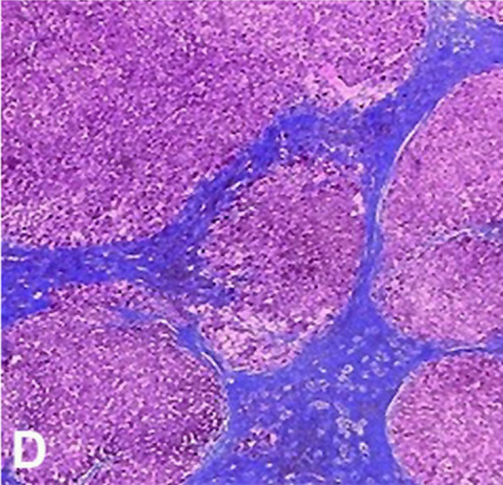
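Liver parenchyma divided into rounded nodules of hepatocytes by broad blue-stained fibrotic septa. The nodules are made of densely packed pink-purple cells with no regular lobular pattern. The pattern is that of cirrhosis.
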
